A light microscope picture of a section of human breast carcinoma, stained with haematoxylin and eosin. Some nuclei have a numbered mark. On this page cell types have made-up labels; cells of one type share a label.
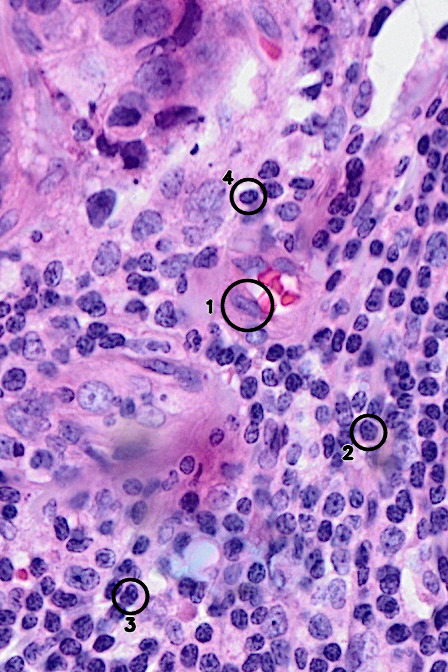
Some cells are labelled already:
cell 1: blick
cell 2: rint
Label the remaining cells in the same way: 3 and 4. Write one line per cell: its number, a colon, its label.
3: rint
4: rint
